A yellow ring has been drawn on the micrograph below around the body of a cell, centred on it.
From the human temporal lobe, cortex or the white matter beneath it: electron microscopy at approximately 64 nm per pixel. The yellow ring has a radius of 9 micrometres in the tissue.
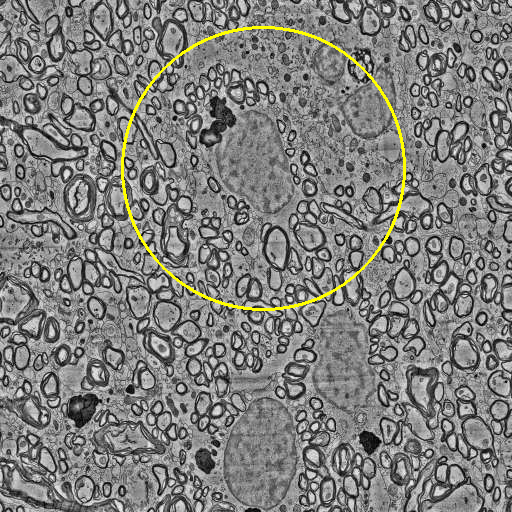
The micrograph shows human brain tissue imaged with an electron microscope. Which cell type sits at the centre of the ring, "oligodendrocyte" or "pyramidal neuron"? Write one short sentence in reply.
The cell sitting at the centre of the ring is an oligodendrocyte.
